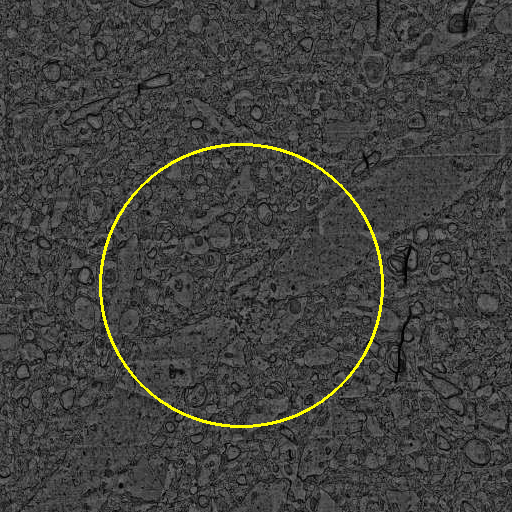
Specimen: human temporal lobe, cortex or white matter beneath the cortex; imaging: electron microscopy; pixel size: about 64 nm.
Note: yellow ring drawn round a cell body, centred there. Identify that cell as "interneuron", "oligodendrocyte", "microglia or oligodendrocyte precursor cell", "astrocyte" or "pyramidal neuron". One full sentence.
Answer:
The cell in the middle of the ring is a microglial cell or oligodendrocyte precursor cell.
